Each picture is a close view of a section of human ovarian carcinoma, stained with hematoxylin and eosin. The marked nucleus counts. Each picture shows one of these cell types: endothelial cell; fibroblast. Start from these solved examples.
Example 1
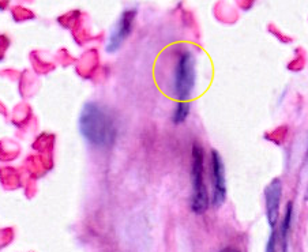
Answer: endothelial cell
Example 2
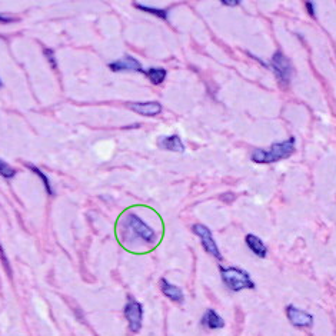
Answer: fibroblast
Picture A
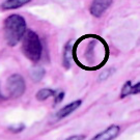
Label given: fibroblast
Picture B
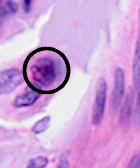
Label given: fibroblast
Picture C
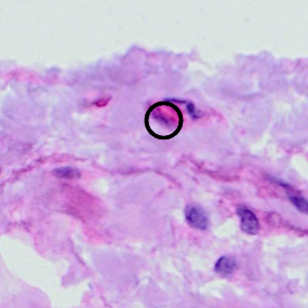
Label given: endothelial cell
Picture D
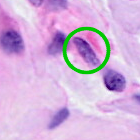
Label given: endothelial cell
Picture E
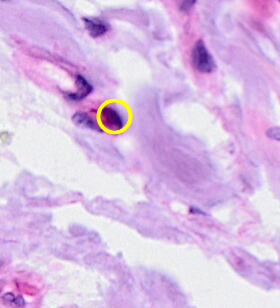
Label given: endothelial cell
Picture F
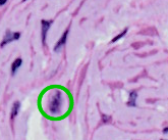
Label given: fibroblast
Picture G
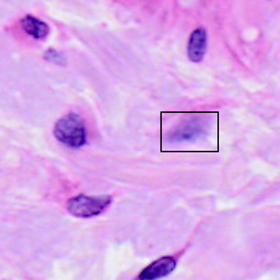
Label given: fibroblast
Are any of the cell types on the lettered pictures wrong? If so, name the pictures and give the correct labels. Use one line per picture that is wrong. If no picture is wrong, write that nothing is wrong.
B: endothelial cell, not fibroblast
